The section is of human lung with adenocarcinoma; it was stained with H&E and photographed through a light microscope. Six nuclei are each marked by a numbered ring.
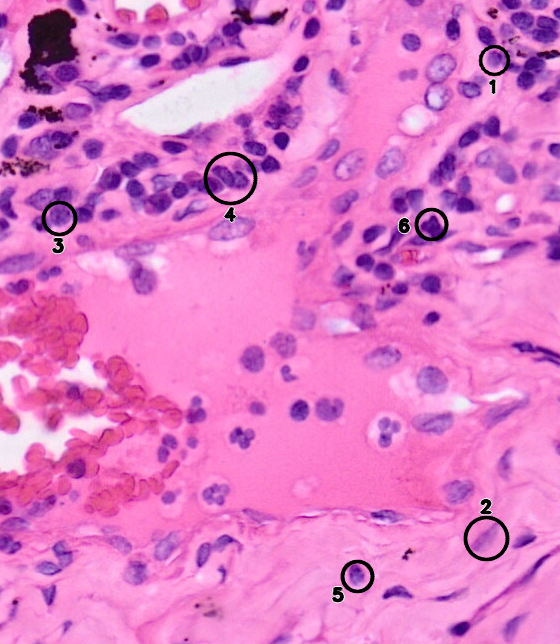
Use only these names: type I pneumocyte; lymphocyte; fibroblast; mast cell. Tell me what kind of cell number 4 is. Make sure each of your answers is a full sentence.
The cell given label 4 is a lymphocyte.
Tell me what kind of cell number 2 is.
In this section, number 2 marks a fibroblast.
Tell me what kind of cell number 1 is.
To a lymphocyte belongs the nucleus marked 1.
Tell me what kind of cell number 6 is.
The cell with the number 6 is a lymphocyte.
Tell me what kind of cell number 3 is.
At number 3, the marked cell is a lymphocyte.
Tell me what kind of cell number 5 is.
In the tissue shown, cell 5 is a mast cell.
